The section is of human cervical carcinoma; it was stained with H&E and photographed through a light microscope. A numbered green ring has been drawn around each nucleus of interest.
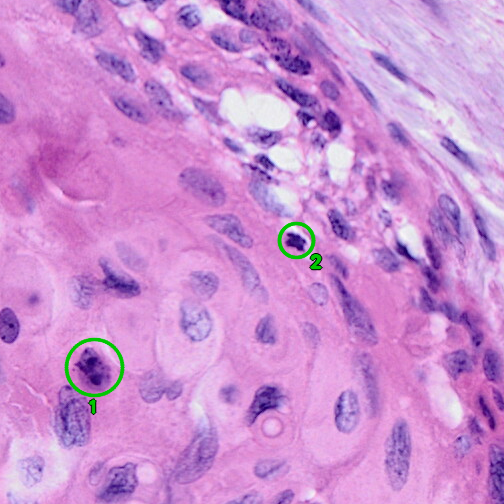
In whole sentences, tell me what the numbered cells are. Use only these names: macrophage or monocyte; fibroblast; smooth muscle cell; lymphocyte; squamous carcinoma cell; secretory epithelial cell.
Cell 1 is a squamous carcinoma cell. Cell 2 is a lymphocyte.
